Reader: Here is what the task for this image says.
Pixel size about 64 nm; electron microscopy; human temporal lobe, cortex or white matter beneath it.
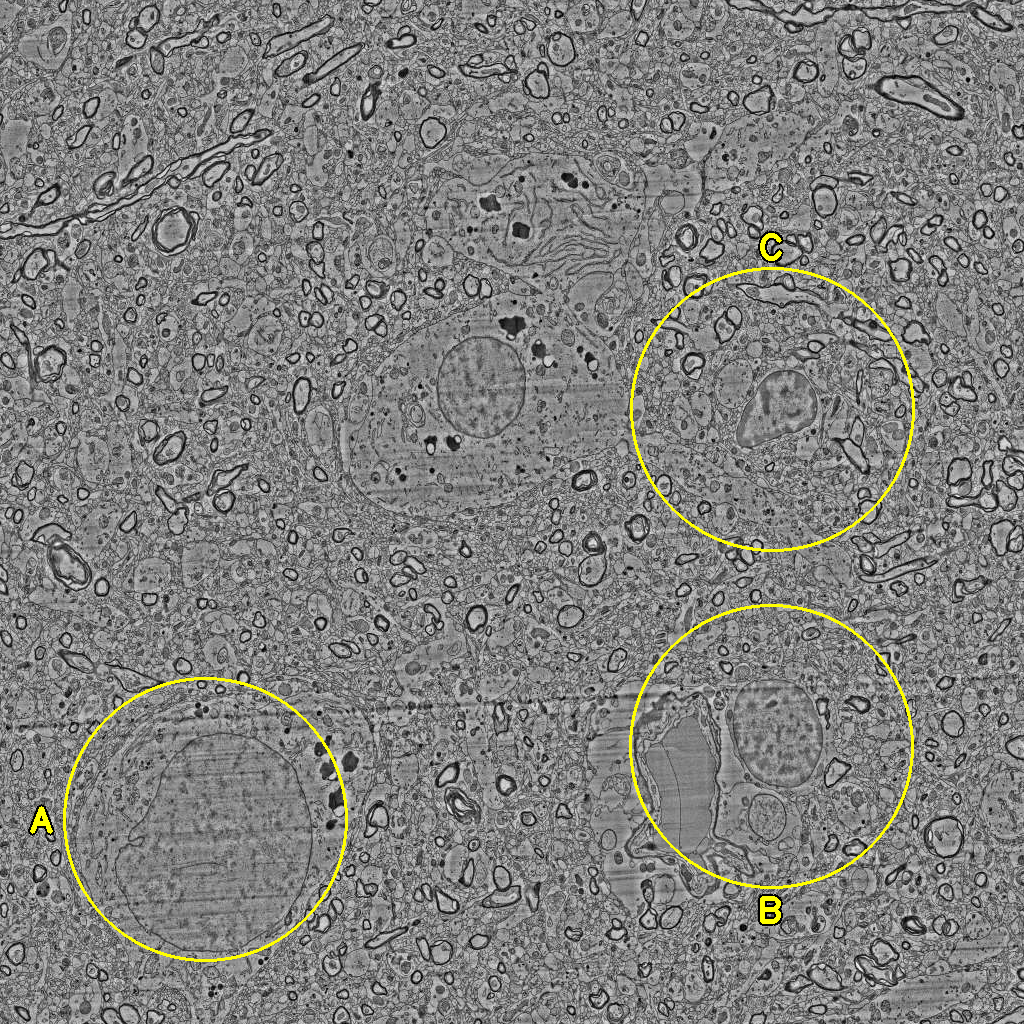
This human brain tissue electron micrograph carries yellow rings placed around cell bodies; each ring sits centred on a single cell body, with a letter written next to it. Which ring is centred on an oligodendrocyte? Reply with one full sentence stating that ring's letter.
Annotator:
Letter B marks the ring whose centre holds the cell asked for.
